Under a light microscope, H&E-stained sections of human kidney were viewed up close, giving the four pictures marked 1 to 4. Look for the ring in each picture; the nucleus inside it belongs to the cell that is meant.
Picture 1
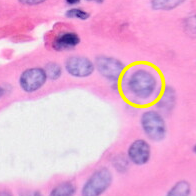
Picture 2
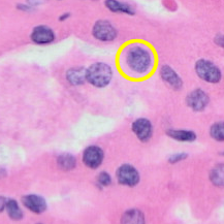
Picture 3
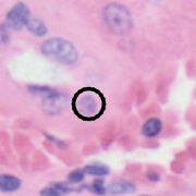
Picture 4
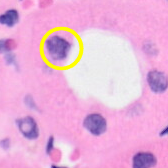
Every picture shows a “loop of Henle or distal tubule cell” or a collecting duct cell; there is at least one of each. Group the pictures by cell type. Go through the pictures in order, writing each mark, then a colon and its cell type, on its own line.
1: collecting duct cell
2: loop of Henle or distal tubule cell
3: collecting duct cell
4: loop of Henle or distal tubule cell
